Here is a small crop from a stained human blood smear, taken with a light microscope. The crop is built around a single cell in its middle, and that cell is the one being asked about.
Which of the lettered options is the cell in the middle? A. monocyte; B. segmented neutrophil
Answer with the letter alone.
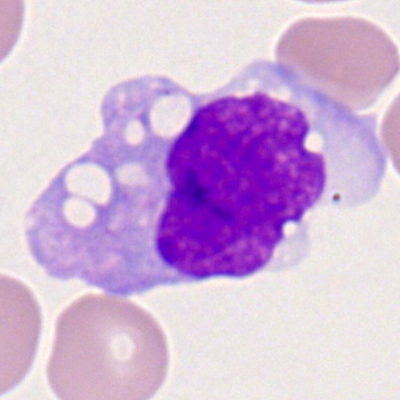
A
